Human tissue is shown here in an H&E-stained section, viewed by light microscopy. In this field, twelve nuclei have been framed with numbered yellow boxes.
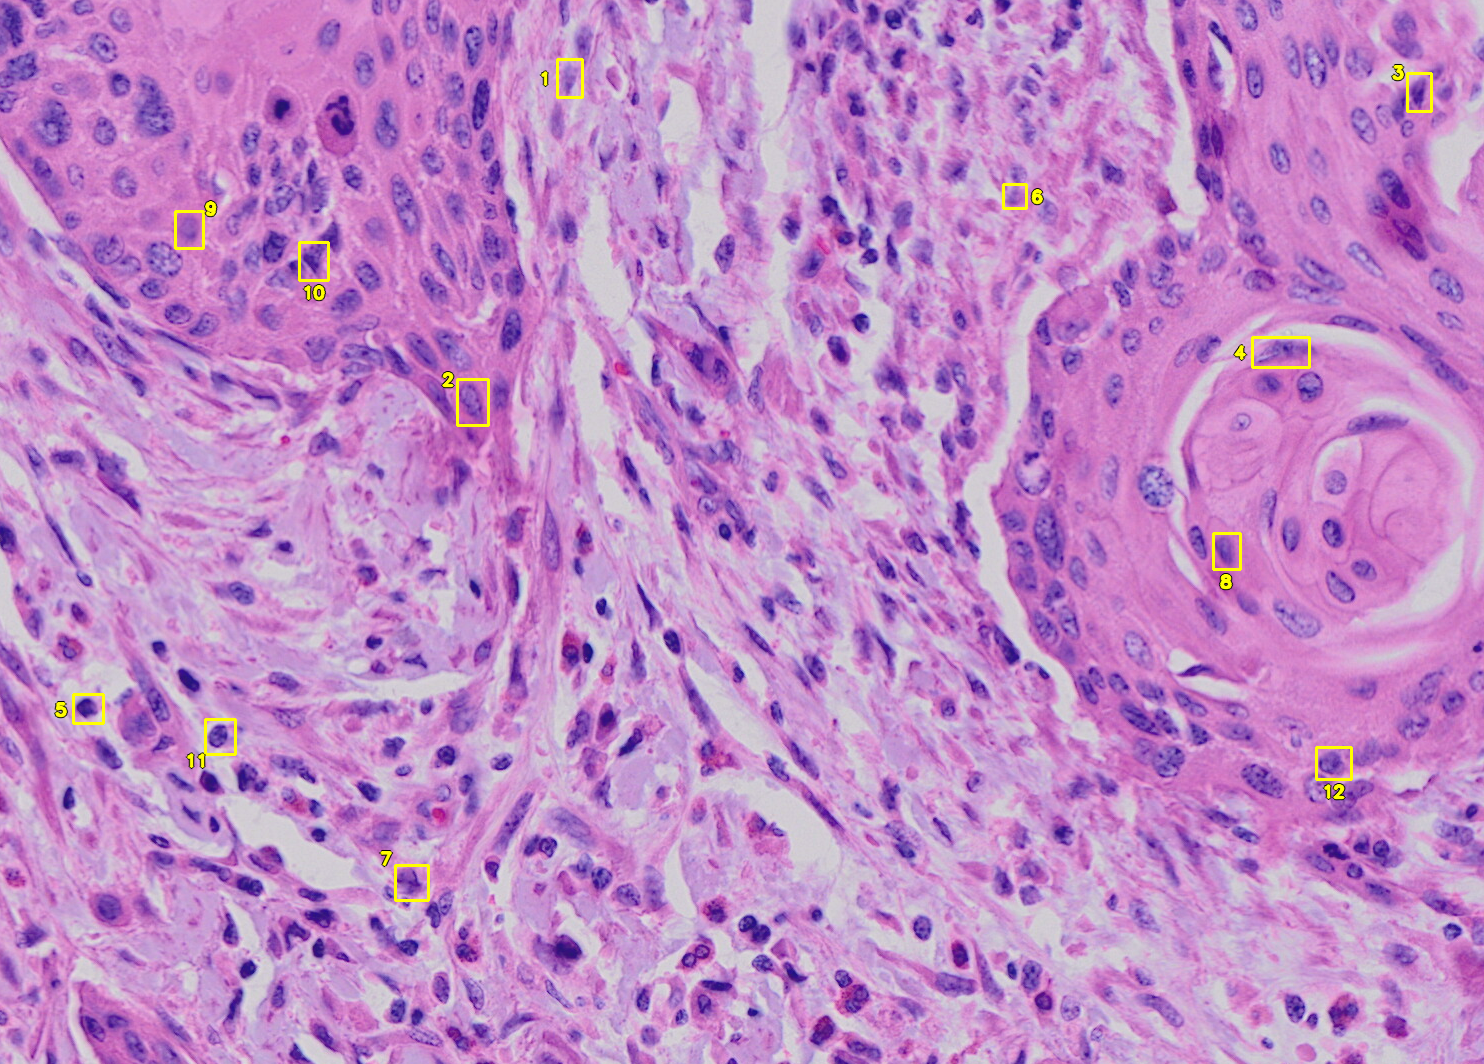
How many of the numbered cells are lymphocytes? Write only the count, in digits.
2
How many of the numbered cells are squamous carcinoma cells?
7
